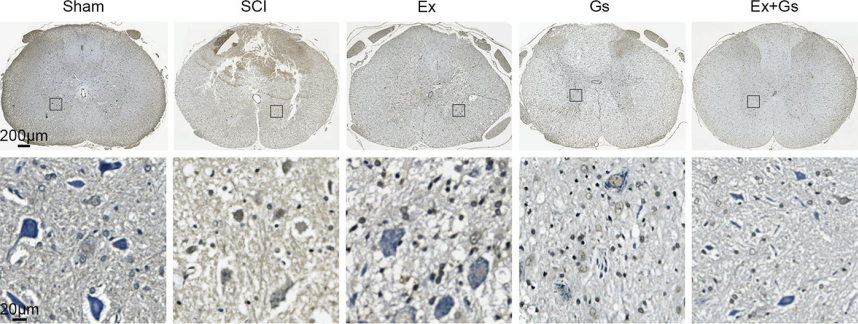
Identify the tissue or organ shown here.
Spinal cord.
